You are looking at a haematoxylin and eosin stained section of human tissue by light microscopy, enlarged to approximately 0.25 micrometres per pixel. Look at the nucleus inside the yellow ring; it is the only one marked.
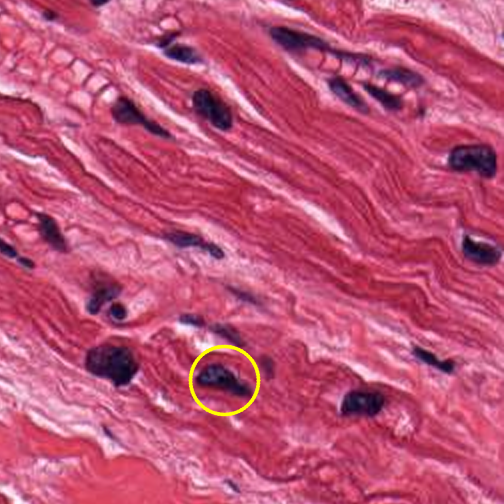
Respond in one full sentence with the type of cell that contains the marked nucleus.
The nucleus carrying the mark is the nucleus of a cardiomyocyte.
